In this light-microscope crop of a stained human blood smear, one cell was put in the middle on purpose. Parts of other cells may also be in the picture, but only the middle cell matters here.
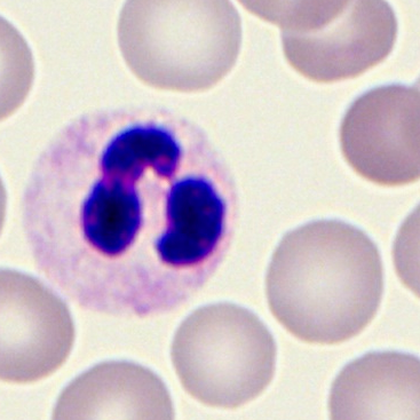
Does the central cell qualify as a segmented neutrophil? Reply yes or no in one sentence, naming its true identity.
Yes, the cell at the centre of the field is a segmented neutrophil.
